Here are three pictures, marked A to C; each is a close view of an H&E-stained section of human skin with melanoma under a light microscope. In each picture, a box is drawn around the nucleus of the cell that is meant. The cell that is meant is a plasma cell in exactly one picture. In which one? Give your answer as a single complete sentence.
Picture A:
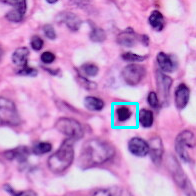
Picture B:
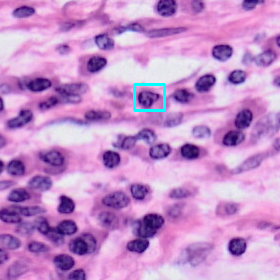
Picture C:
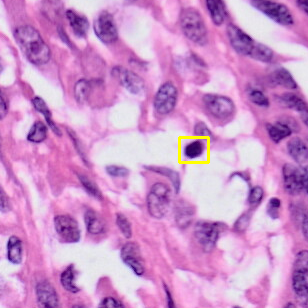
The plasma cell is the one in picture B.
